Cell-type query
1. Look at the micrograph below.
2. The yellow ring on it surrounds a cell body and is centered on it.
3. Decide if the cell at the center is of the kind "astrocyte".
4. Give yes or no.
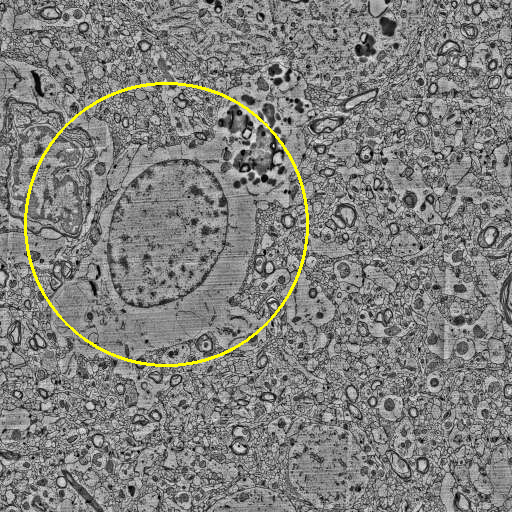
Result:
yes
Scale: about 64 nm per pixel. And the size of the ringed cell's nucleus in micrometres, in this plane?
About 10 micrometres by about 8 micrometres in this plane.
